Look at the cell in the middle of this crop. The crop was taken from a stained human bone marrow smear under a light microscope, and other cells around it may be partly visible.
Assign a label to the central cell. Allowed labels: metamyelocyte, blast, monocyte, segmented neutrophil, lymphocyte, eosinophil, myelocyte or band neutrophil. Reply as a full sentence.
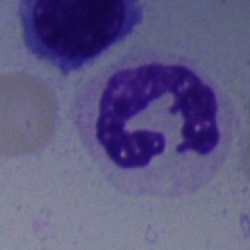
Here the centrally located cell is a segmented neutrophil.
